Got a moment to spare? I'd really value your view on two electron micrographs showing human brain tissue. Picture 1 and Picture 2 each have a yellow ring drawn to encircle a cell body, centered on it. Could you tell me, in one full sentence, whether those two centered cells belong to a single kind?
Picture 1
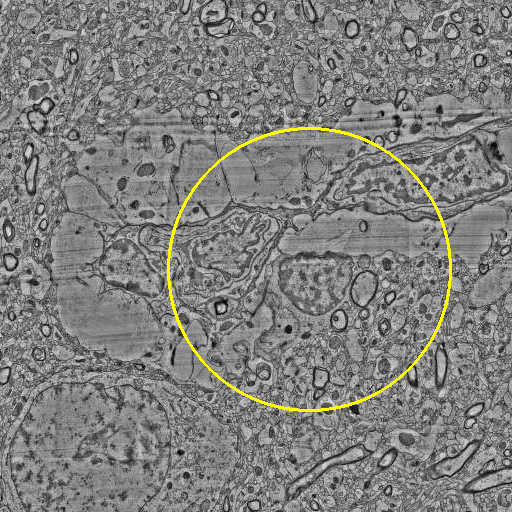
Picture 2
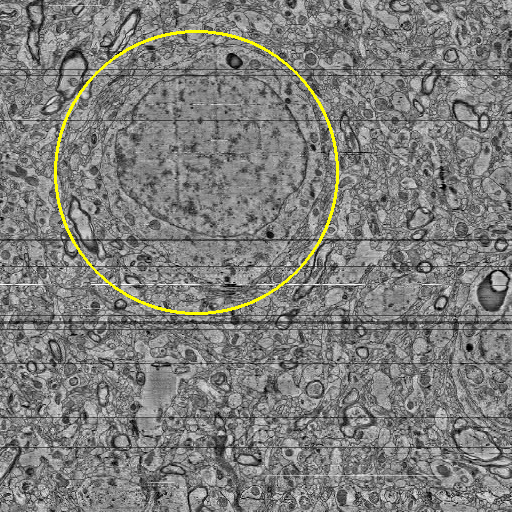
No, the two centered cells in Picture 1 and Picture 2 are of two kinds.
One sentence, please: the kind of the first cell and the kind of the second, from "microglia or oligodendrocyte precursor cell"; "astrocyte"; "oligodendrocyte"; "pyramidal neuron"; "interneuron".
The ring in the first picture surrounds an oligodendrocyte, and the ring in the second surrounds a pyramidal neuron.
